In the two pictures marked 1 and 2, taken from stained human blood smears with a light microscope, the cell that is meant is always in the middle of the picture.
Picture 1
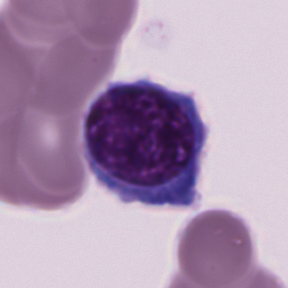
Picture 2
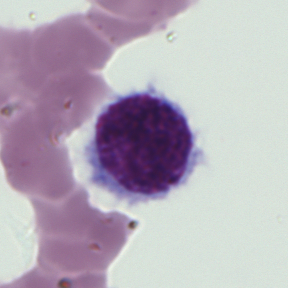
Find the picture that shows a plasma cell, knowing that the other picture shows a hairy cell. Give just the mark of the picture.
1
